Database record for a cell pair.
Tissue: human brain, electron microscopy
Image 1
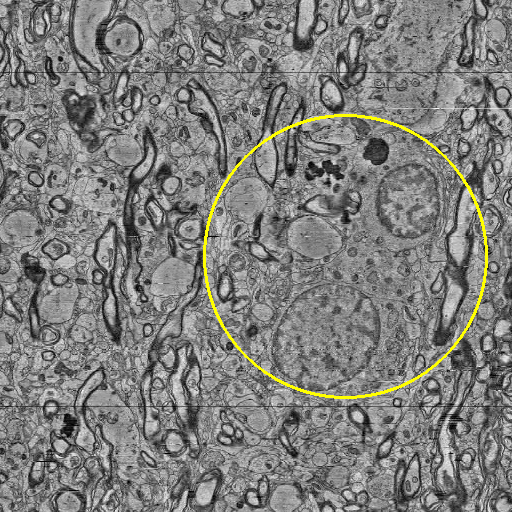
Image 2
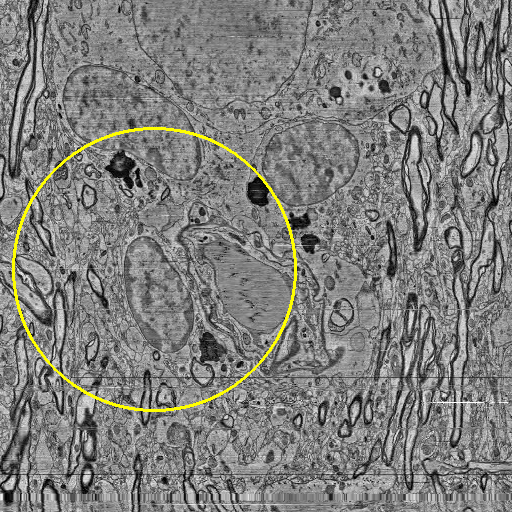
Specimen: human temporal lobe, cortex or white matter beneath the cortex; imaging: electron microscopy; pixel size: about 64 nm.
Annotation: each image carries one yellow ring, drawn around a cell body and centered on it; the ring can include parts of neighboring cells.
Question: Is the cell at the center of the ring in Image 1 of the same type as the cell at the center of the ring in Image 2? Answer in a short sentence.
No, the cells are of two types.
